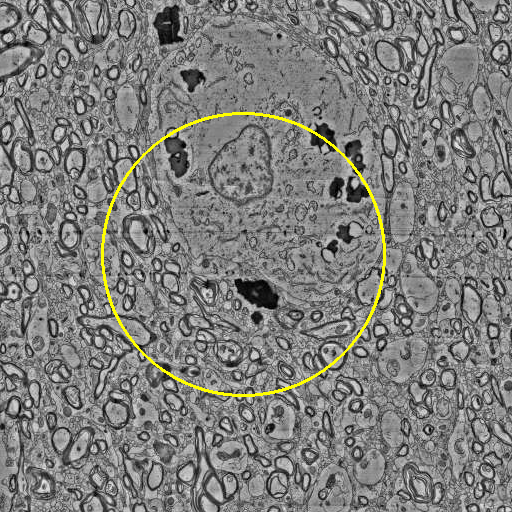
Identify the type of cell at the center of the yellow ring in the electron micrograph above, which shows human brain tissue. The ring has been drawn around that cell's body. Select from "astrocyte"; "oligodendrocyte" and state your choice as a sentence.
The yellow ring is centered on the body of an oligodendrocyte.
